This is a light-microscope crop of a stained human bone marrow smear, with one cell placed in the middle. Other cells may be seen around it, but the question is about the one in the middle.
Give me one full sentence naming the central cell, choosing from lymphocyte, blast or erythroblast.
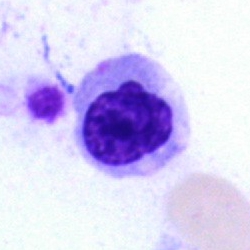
By type, the central cell of the crop is an erythroblast.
